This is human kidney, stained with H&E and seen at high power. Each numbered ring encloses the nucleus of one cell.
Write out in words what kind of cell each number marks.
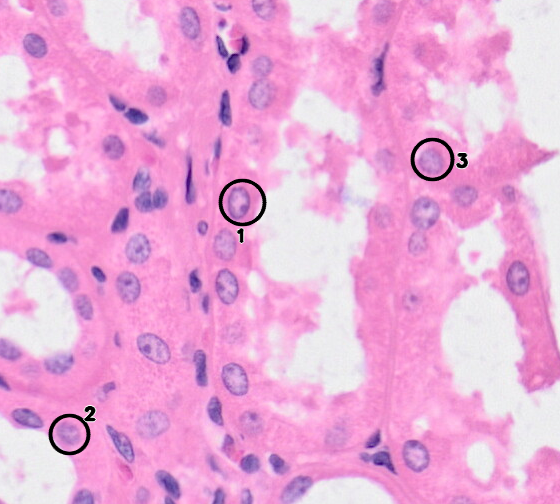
Cell 1 is a proximal tubule cell, cell 2 is a loop of Henle or distal tubule cell and cell 3 is a proximal tubule cell.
